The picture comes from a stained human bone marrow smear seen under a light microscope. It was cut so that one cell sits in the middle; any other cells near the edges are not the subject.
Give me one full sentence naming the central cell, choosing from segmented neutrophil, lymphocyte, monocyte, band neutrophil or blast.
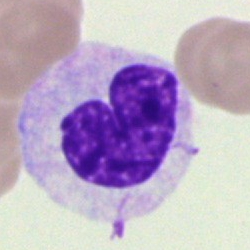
The cell at the central position in this crop is a band neutrophil.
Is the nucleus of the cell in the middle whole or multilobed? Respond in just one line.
Just one compact nuclear mass here, round, oval or kidney-shaped.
